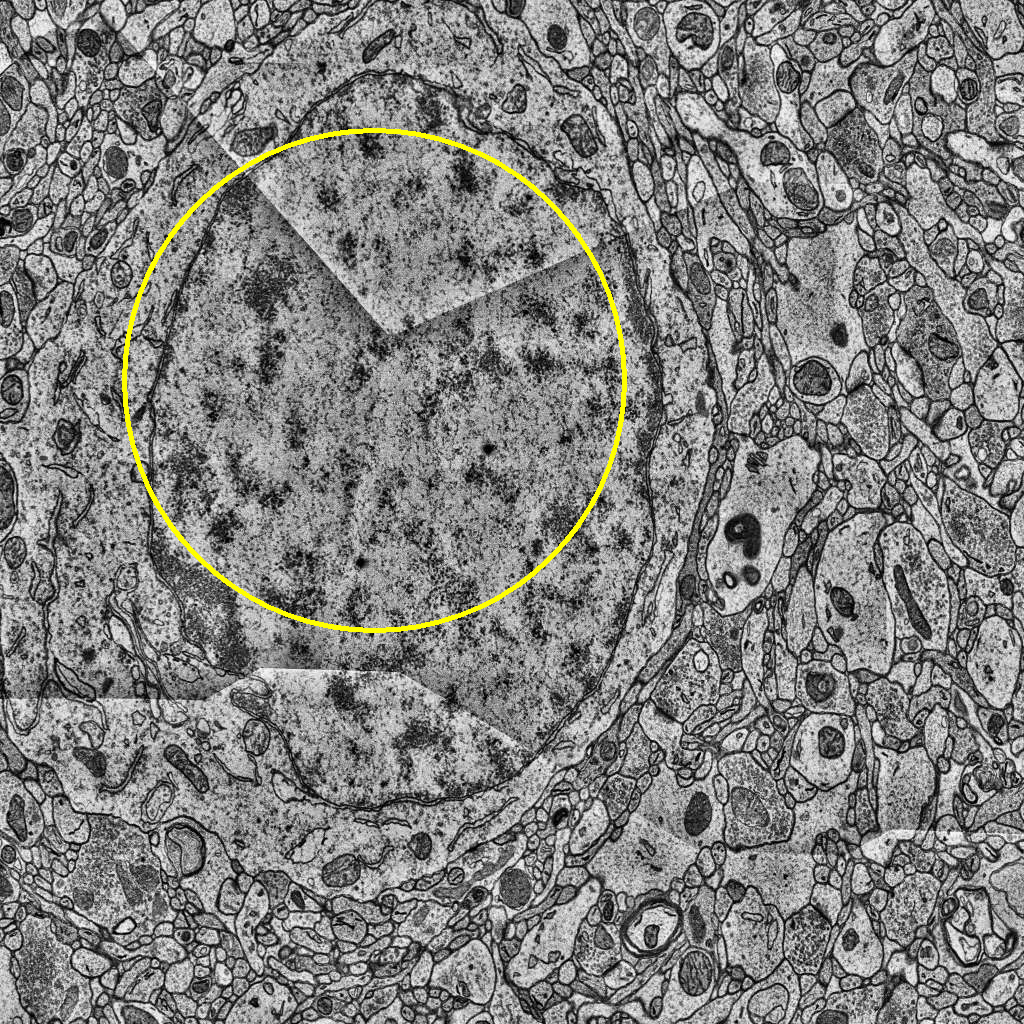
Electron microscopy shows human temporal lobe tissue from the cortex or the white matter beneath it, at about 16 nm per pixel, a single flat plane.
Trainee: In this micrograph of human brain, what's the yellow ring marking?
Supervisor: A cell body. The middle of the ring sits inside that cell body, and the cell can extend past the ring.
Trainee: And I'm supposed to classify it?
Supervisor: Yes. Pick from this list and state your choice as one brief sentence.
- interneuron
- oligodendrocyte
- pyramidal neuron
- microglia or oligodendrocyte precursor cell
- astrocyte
The cell at the ring's center is an interneuron.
